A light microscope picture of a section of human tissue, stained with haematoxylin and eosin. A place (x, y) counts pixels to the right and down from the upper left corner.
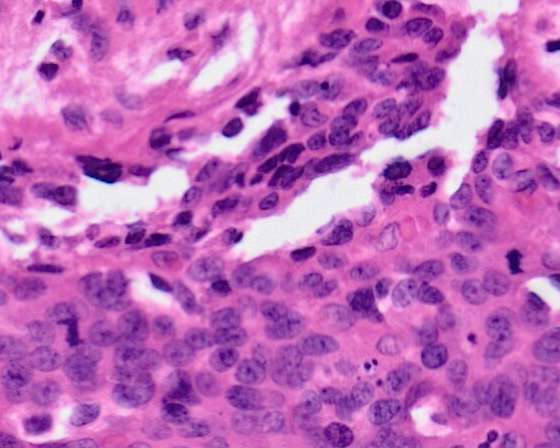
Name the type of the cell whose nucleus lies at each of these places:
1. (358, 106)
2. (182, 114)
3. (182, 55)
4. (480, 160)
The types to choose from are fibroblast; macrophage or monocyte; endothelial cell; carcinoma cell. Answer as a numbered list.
1. macrophage or monocyte
2. fibroblast
3. fibroblast
4. carcinoma cell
